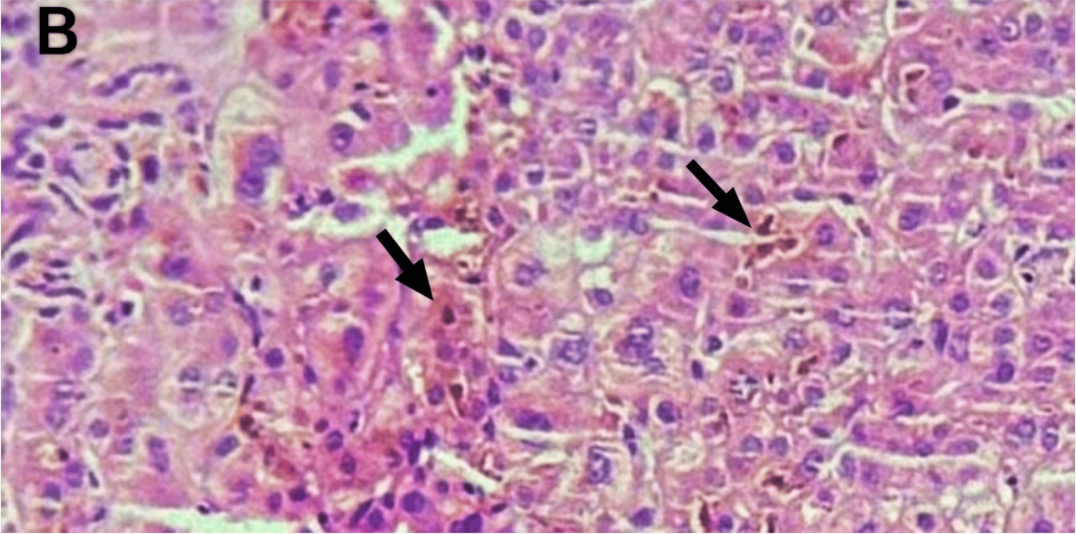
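Liver parenchyma with plates of polygonal hepatocytes that have pink, finely granular cytoplasm and round, centrally placed purple nuclei. Small clumps of brownish pigment lie between neighbouring hepatocytes along the cell borders. Narrow sinusoidal clefts with a few flattened nuclei run between the plates.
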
